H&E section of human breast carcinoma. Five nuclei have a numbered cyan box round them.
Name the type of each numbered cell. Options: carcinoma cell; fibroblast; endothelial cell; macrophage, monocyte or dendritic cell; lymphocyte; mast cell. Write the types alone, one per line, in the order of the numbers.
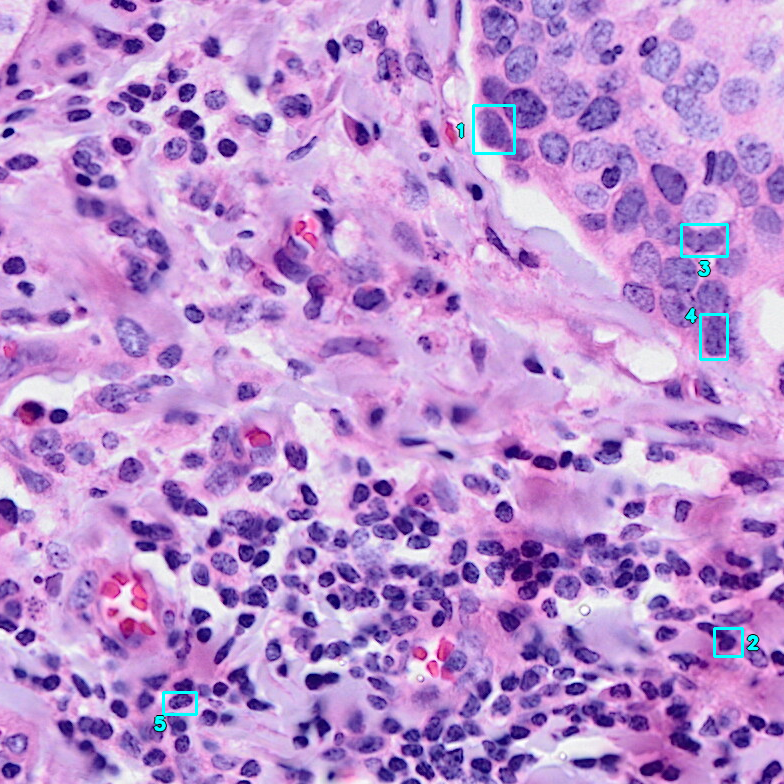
carcinoma cell
lymphocyte
carcinoma cell
carcinoma cell
lymphocyte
